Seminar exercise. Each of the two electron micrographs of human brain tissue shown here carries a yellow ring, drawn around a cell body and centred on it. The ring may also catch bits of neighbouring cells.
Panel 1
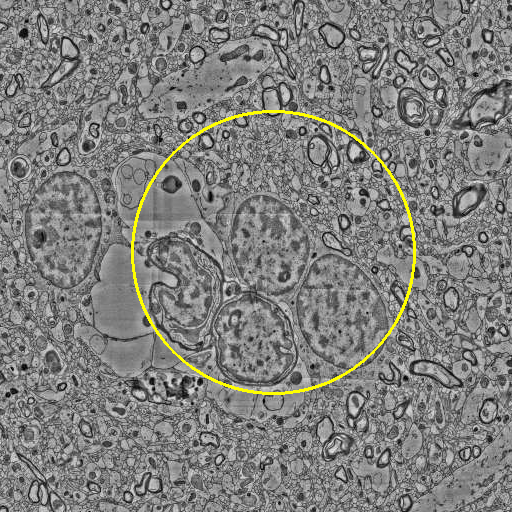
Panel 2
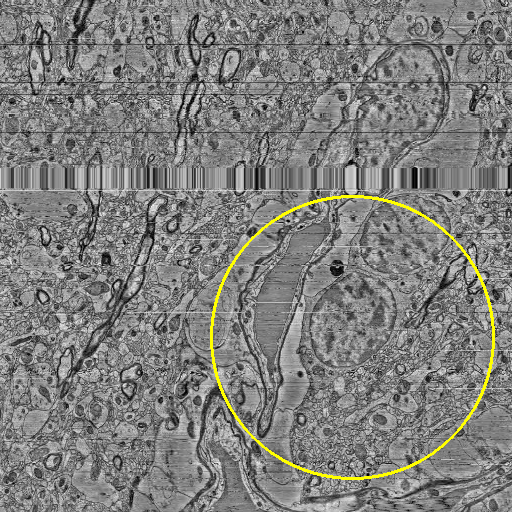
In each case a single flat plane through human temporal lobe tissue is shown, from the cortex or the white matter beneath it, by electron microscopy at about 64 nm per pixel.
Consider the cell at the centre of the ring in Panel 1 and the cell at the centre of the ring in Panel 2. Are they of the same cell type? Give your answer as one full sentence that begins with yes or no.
Yes, both cells are of the same type.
